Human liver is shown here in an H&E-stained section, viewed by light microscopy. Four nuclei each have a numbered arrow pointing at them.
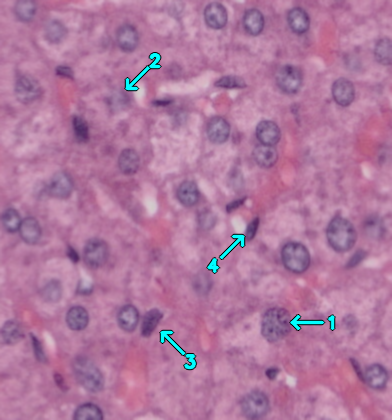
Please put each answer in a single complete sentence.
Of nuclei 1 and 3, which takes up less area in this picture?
Number 3 is smaller, since number 1 takes up about 2 times as much area.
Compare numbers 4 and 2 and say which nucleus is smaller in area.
The smaller nucleus is 4, and 2 covers roughly 2 times its area.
